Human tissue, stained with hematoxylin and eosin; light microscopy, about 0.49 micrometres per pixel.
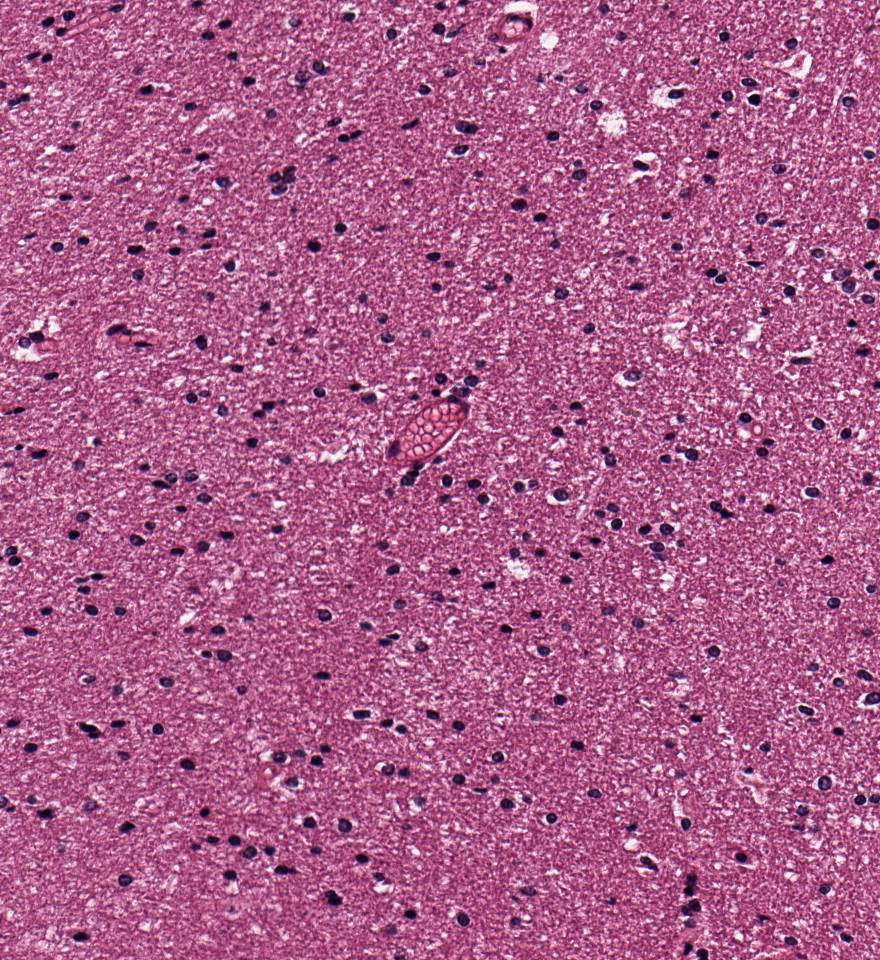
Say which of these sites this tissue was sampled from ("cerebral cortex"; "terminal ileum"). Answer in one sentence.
The site this tissue was sampled from is the cerebral cortex.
